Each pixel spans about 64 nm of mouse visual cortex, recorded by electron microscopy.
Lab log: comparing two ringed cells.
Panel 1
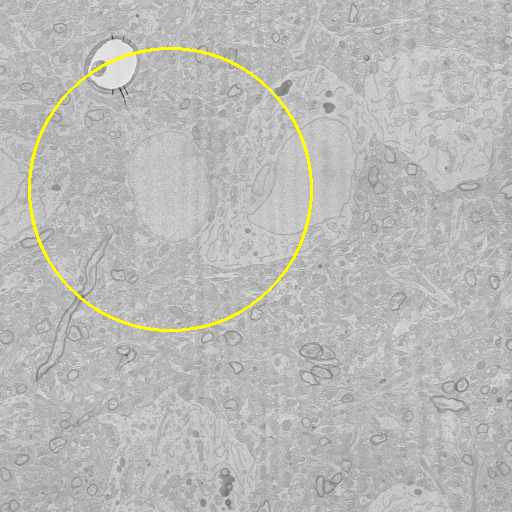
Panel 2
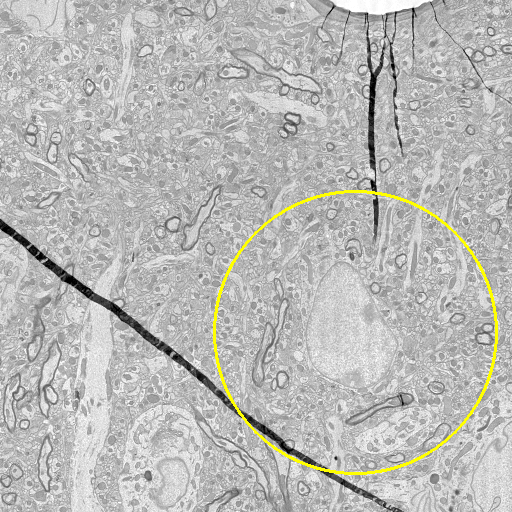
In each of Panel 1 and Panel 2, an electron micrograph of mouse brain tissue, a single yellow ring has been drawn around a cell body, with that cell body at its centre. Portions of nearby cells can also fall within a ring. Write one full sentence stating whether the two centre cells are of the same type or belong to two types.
The cells at the ring centres in Panel 1 and Panel 2 are of the same type.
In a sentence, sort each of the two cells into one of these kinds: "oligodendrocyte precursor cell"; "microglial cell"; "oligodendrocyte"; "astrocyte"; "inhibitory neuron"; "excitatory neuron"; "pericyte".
Both pictures show an astrocyte at the centre of the ring.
